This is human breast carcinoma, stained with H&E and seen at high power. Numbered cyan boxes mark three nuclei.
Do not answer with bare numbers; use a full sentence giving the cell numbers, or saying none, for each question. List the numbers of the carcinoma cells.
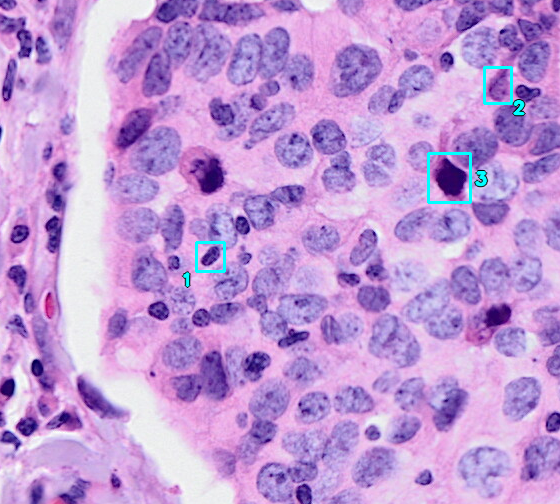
Cells 2 and 3 are of one type, namely carcinoma cells.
